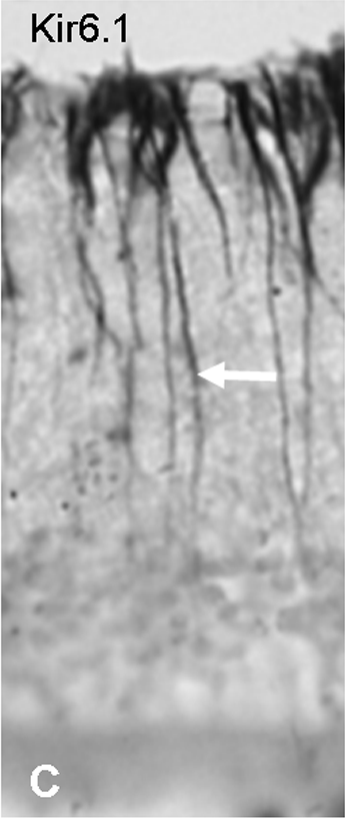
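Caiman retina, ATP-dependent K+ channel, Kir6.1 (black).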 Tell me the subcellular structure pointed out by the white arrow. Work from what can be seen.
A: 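Stalks. Thin dark radial lines descend from a dark band at the top edge. The arrow points at one of these thin vertical lines.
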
